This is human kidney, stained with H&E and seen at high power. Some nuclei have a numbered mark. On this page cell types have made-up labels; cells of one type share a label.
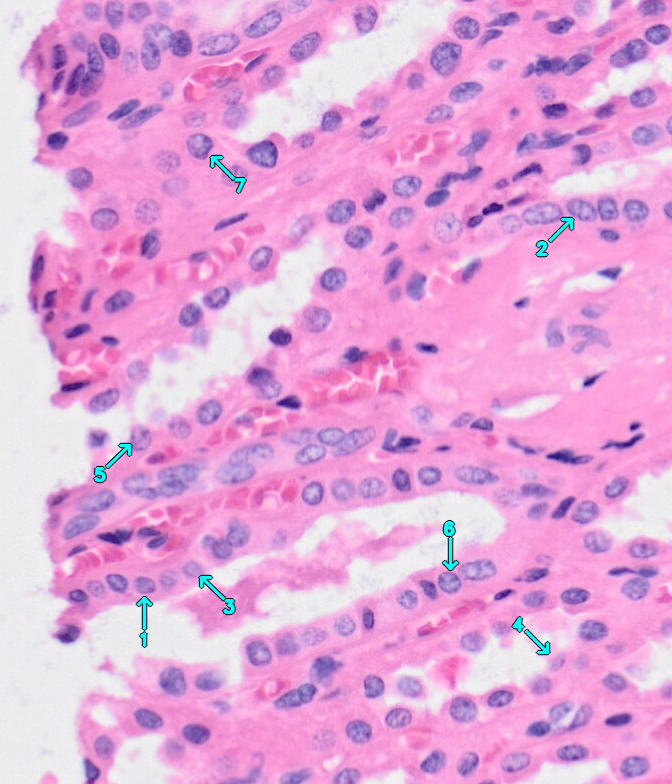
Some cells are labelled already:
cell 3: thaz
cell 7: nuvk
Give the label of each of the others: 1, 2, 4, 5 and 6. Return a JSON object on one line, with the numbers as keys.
{"1": "thaz", "2": "thaz", "4": "nuvk", "5": "nuvk", "6": "thaz"}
